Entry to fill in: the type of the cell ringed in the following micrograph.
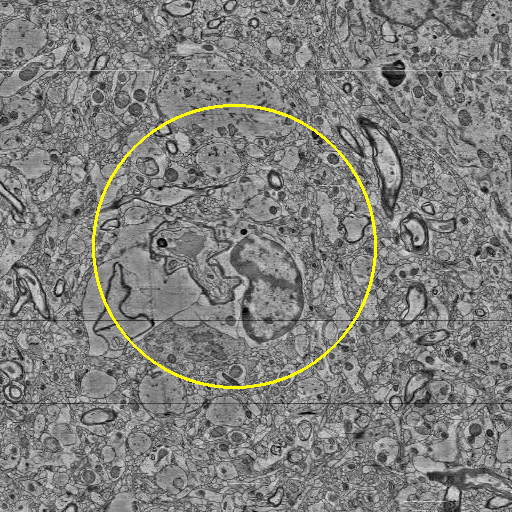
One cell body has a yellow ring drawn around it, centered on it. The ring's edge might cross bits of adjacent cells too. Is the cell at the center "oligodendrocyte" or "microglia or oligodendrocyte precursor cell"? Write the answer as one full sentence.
This entry names a microglial cell or oligodendrocyte precursor cell as the cell whose body lies at the ring's center.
